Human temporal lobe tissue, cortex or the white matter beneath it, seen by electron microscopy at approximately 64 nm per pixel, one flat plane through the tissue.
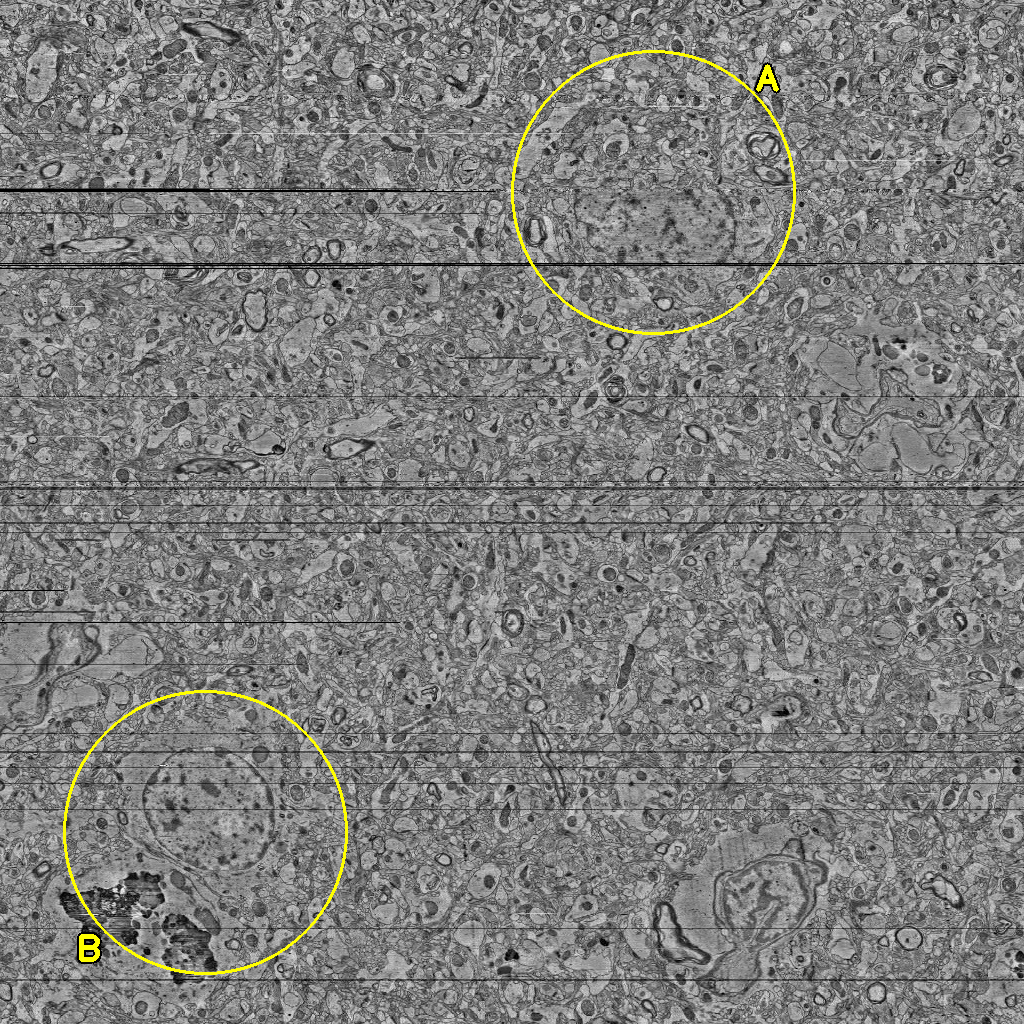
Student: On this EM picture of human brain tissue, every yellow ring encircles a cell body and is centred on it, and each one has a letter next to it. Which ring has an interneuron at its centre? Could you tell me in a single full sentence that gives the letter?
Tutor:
Ring A is the one drawn around the cell you are asking about.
